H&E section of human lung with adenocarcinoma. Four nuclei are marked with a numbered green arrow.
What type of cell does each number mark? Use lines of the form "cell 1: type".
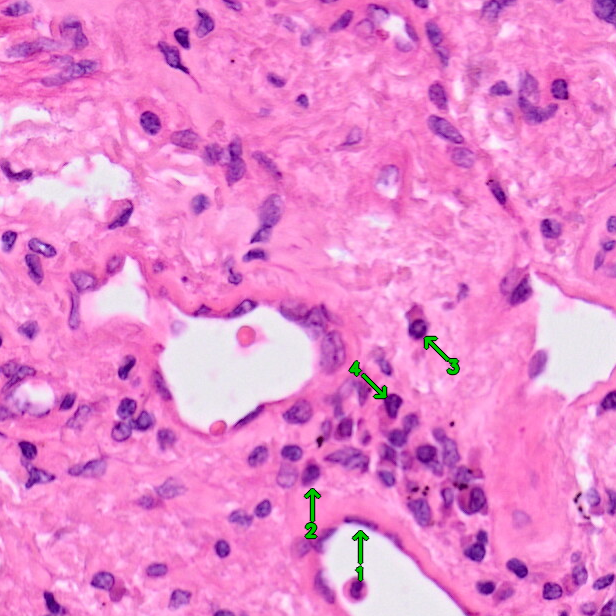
cell 1: endothelial cell
cell 2: plasma cell
cell 3: plasma cell
cell 4: plasma cell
